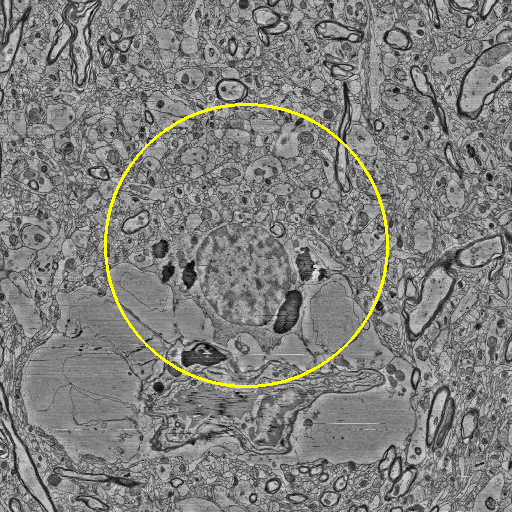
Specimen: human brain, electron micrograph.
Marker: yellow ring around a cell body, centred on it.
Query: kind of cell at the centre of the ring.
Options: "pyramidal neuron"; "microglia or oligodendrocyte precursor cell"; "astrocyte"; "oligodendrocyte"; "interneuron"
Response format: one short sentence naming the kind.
This cell body belongs to an oligodendrocyte.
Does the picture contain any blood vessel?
Yes, a blood vessel is present in this picture.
